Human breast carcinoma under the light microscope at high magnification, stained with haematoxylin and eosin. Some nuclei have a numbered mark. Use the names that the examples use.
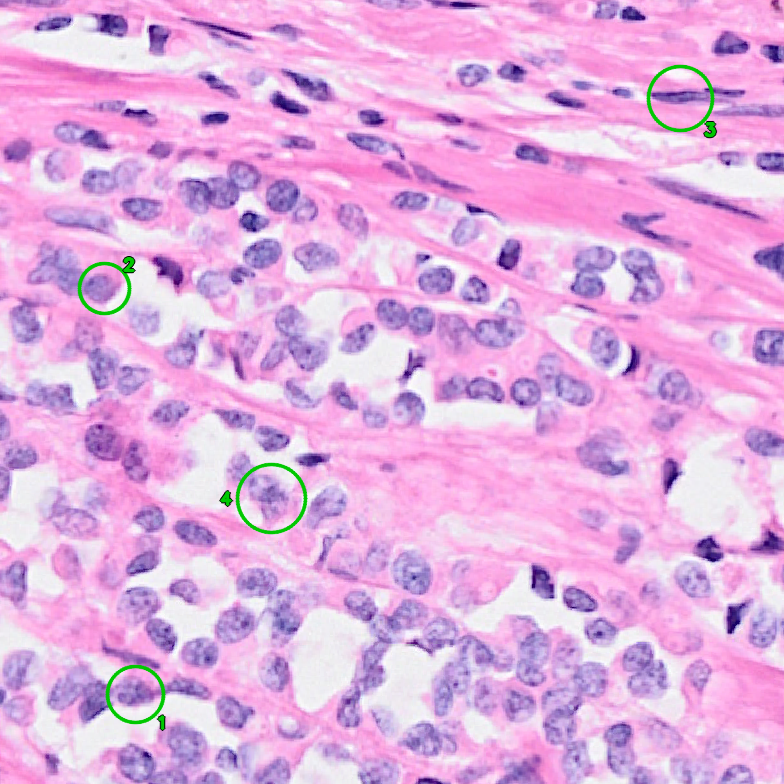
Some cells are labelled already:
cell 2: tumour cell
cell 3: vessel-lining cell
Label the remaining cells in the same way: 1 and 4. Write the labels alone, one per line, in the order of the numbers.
tumour cell
tumour cell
